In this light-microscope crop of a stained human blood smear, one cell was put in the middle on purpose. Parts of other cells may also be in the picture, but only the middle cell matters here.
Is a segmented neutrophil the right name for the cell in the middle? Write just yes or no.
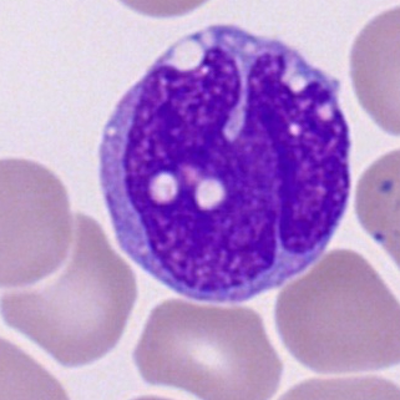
no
